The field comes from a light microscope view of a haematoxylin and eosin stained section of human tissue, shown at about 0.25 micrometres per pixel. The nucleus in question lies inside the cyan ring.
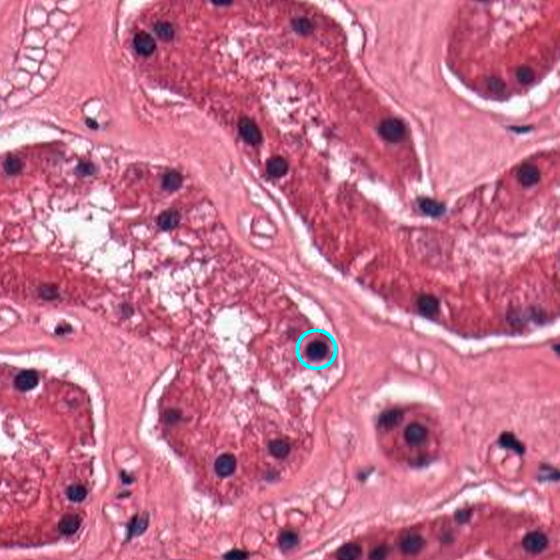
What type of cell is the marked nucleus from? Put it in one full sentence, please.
The cell containing the marked nucleus is a proximal tubule cell.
